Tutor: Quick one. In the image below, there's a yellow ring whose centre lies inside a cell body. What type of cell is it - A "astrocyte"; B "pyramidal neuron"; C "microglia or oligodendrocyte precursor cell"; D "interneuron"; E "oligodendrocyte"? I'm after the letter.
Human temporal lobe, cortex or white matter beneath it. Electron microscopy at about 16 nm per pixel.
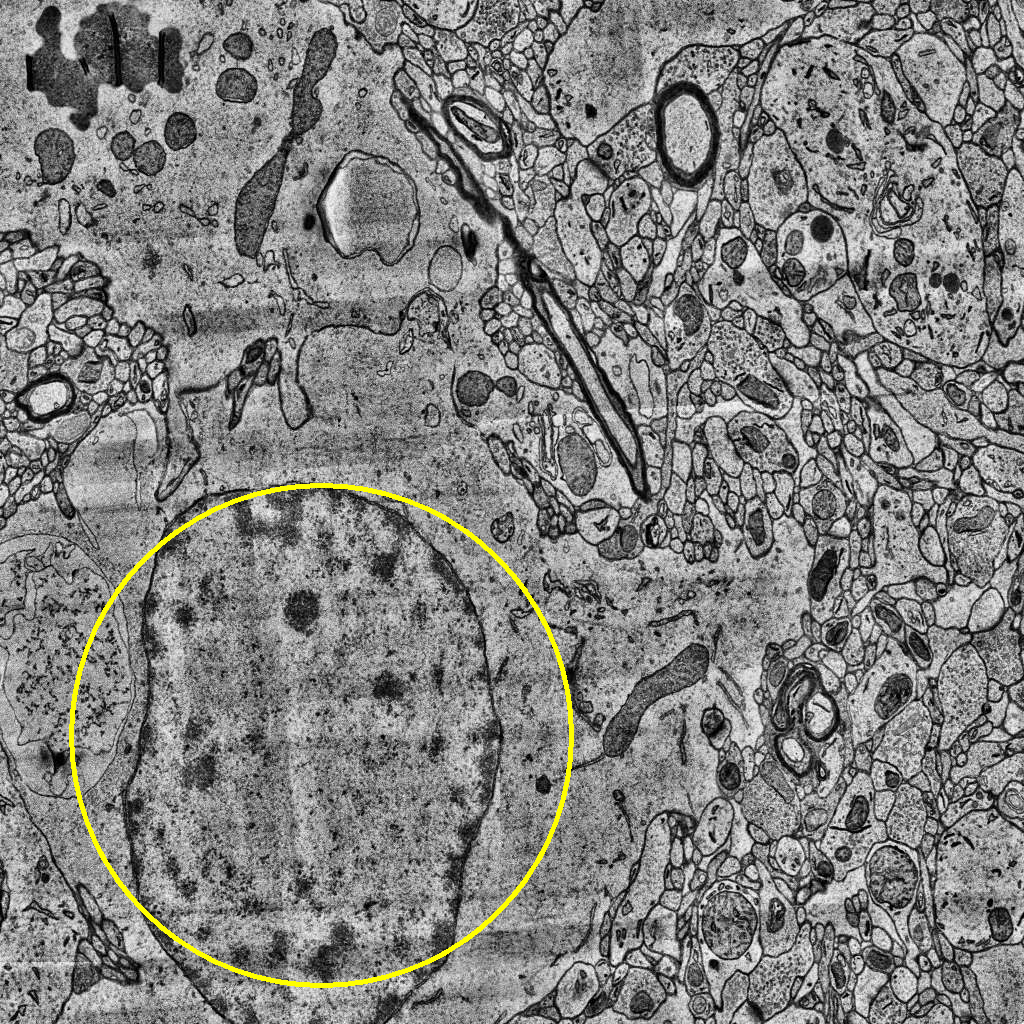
A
